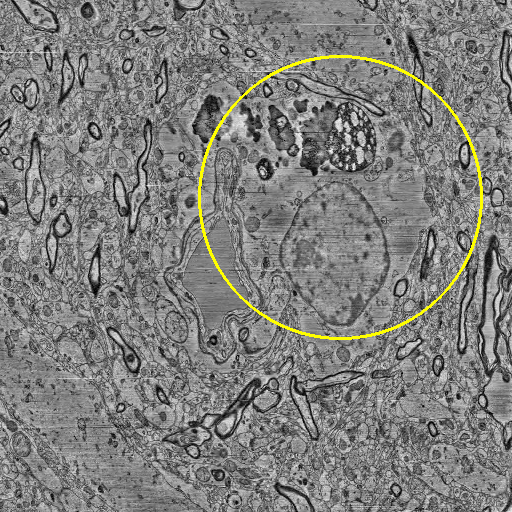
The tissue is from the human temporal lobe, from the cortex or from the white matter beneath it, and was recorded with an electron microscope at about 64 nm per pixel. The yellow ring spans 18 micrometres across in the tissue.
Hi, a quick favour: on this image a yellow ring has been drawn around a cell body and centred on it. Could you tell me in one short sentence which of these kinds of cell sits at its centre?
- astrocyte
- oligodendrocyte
The ring is centred on an astrocyte.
